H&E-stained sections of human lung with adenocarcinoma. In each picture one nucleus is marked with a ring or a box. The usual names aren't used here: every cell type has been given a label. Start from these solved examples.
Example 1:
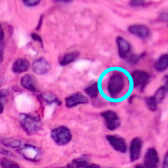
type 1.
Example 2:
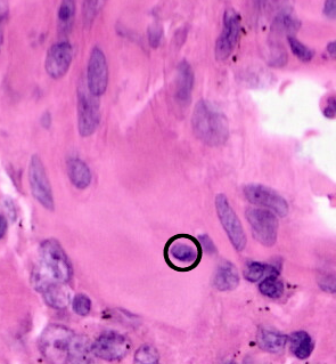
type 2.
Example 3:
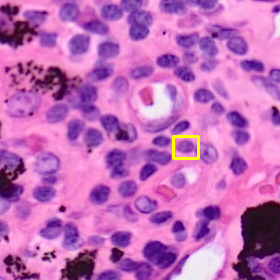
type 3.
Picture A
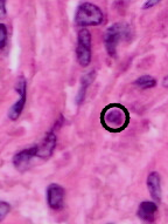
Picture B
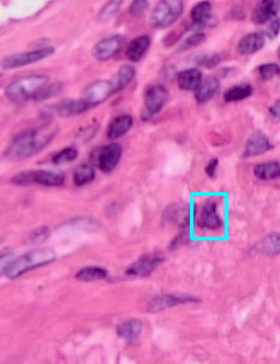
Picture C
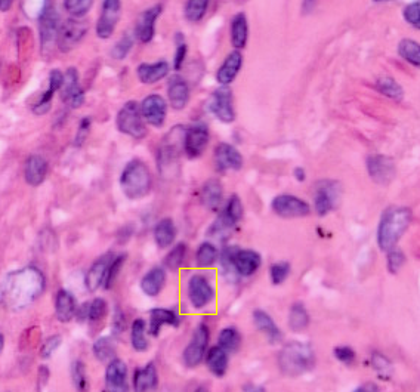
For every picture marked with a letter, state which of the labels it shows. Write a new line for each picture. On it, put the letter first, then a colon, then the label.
A: type 1.
B: type 1.
C: type 3.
